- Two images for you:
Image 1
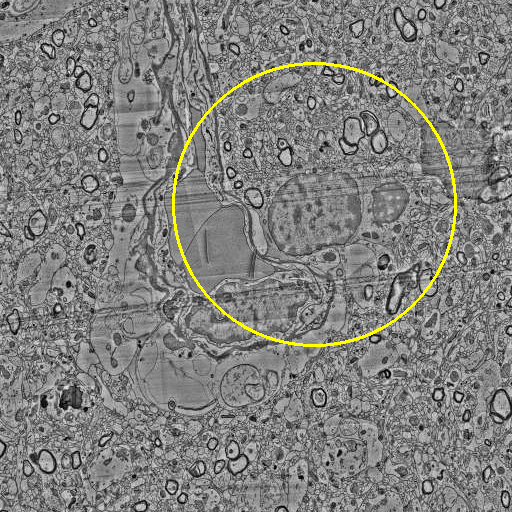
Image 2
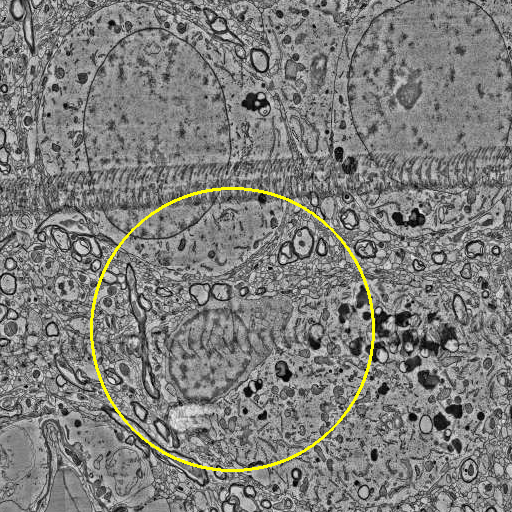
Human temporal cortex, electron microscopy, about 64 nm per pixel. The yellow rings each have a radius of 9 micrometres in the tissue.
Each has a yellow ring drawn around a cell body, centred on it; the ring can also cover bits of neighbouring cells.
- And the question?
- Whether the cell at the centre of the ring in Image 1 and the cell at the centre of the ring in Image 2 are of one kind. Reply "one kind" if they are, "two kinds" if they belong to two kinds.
one kind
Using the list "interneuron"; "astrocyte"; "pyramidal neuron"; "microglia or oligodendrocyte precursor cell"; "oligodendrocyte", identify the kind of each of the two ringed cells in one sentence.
Both the first and the second picture show an oligodendrocyte in the ring.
